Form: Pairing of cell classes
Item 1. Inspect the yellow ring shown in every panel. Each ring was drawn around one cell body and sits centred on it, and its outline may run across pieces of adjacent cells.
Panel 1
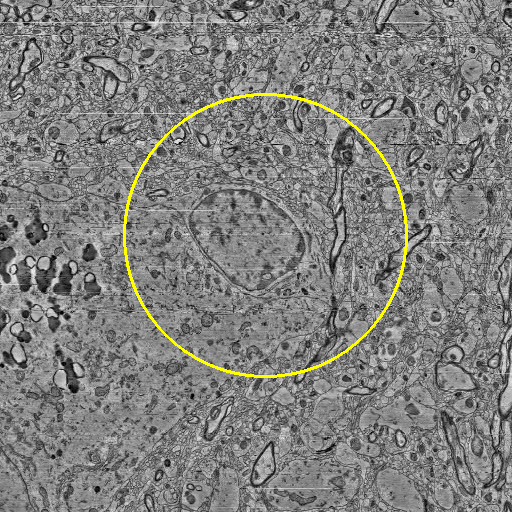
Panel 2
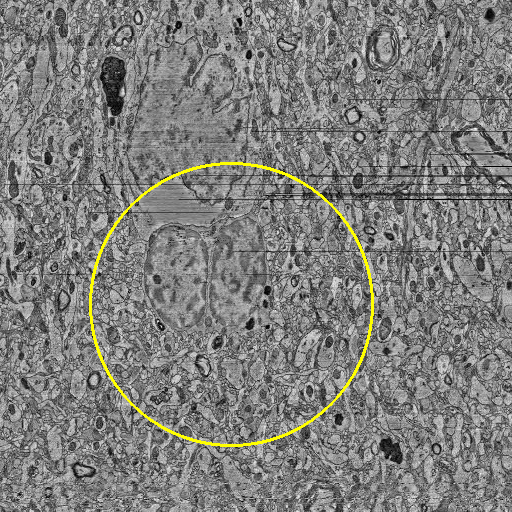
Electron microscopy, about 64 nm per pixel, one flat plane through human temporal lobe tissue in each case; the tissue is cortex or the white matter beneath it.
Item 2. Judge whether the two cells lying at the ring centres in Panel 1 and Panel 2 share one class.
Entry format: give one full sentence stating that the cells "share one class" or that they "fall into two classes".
The cells at the ring centres in Panel 1 and Panel 2 fall into two classes.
